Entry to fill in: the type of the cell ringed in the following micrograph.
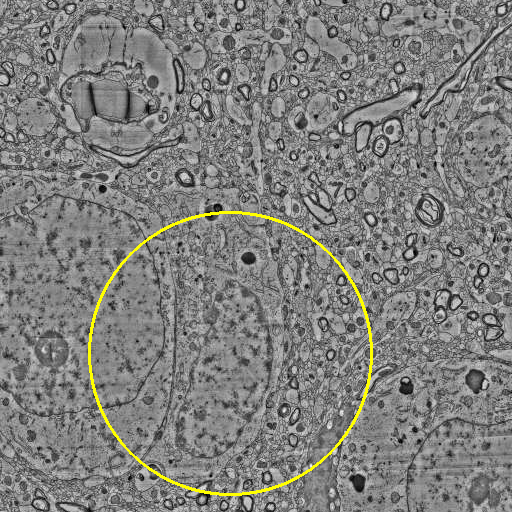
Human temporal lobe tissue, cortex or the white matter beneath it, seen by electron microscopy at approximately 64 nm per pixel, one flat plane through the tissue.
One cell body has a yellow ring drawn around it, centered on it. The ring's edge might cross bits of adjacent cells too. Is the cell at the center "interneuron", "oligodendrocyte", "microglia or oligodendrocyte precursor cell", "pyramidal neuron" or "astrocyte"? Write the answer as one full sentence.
This entry names an interneuron as the cell whose body lies at the ring's center.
